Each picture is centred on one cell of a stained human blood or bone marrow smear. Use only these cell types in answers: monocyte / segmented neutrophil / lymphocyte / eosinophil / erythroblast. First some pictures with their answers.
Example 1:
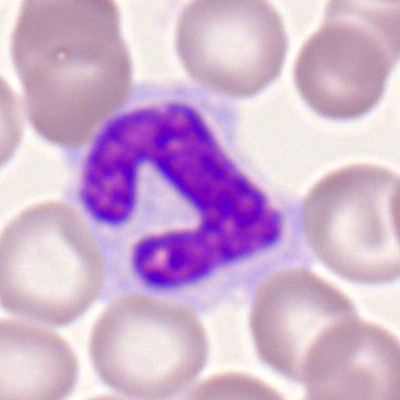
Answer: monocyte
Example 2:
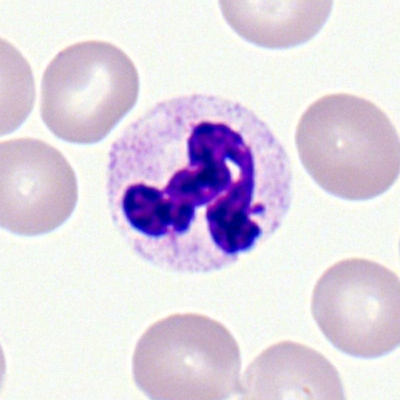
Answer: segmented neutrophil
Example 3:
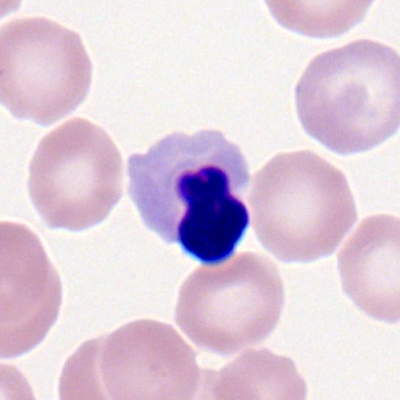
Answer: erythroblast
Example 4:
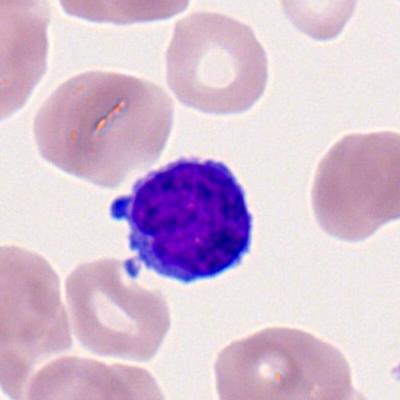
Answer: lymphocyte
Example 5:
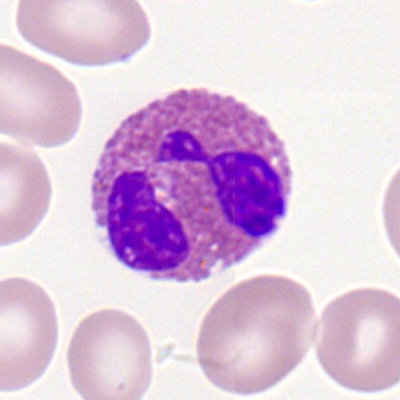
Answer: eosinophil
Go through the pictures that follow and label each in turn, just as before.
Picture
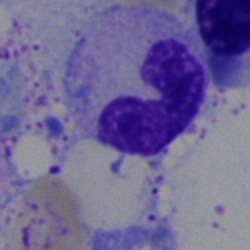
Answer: segmented neutrophil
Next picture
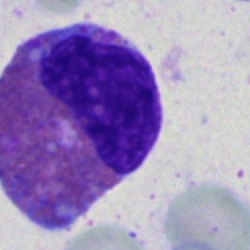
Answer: eosinophil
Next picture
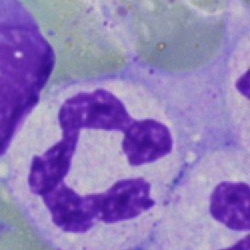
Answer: segmented neutrophil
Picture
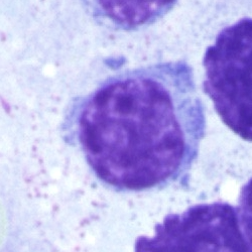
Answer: lymphocyte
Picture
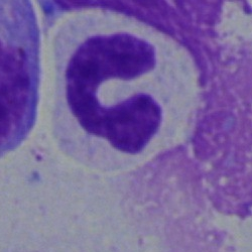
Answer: segmented neutrophil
